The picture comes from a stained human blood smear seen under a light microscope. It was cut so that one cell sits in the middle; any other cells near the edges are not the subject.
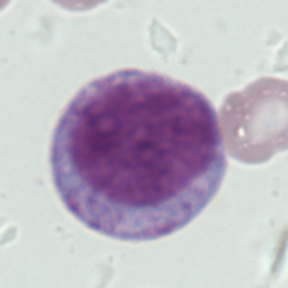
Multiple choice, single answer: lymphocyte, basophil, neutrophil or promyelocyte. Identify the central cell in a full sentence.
In the crop, the cell of interest at the centre is a promyelocyte.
